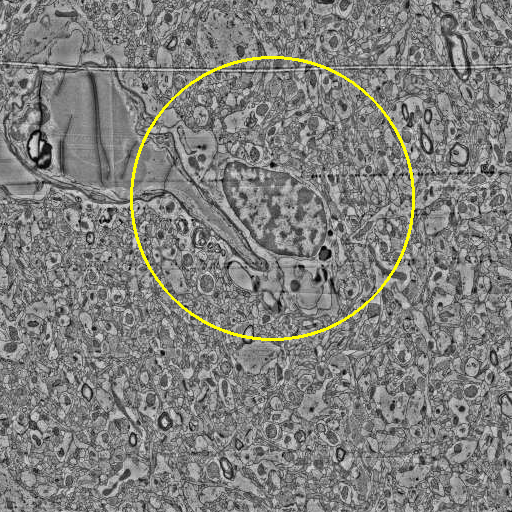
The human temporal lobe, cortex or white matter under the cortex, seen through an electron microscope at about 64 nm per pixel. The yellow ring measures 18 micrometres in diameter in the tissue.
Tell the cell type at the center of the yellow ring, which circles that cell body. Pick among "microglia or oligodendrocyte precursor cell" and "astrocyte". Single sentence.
The ring is centered on the body of a microglial cell or oligodendrocyte precursor cell.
